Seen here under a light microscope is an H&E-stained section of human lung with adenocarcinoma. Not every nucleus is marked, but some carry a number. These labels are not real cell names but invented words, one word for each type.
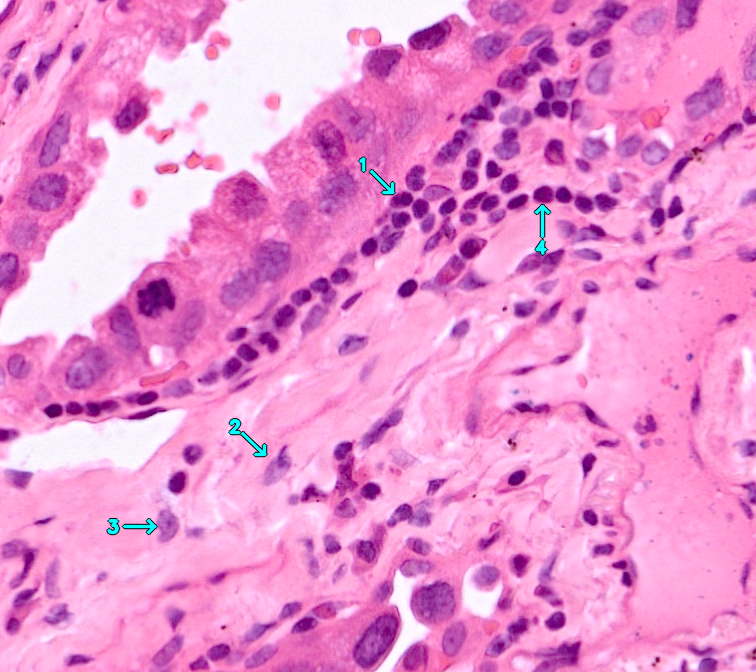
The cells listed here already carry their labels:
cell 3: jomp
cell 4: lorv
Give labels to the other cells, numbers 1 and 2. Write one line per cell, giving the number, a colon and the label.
1: lorv
2: jomp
